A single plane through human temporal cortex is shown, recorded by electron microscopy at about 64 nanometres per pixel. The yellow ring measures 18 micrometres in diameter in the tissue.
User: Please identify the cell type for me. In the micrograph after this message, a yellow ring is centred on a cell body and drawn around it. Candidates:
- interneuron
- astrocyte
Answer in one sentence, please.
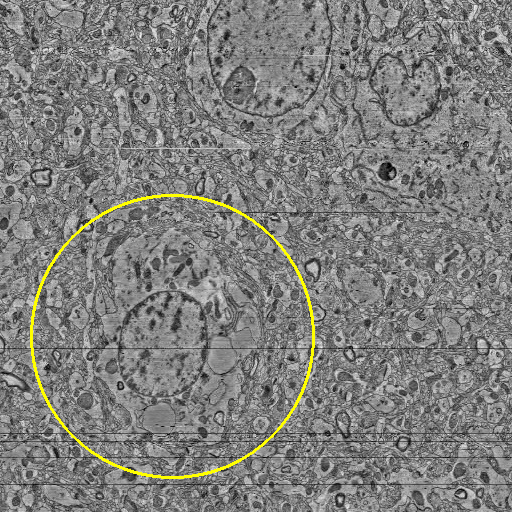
The ring is drawn around the cell body of an astrocyte.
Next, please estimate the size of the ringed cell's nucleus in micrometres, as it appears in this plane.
In this plane, the nucleus of the cell at the centre of the ring measures about 7 by 6 micrometres.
